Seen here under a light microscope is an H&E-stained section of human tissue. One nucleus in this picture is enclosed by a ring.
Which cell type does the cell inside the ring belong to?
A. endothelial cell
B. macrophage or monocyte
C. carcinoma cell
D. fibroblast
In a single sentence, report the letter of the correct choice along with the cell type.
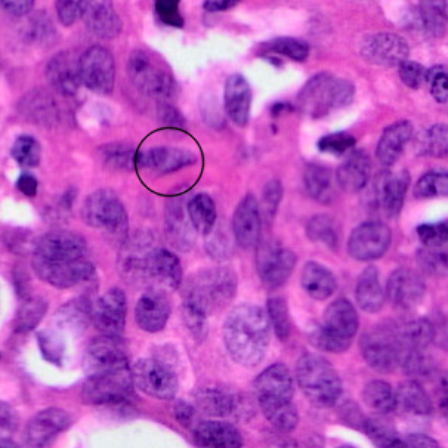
As the cell inside the ring is an endothelial cell, the correct choice is option A.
